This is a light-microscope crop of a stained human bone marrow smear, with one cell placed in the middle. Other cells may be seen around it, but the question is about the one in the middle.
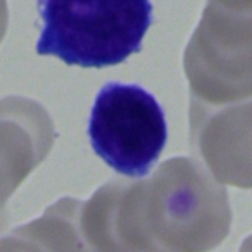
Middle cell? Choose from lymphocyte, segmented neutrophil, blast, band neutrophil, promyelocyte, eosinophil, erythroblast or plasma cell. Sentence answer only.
Of the cells in this crop, the central one is a lymphocyte.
